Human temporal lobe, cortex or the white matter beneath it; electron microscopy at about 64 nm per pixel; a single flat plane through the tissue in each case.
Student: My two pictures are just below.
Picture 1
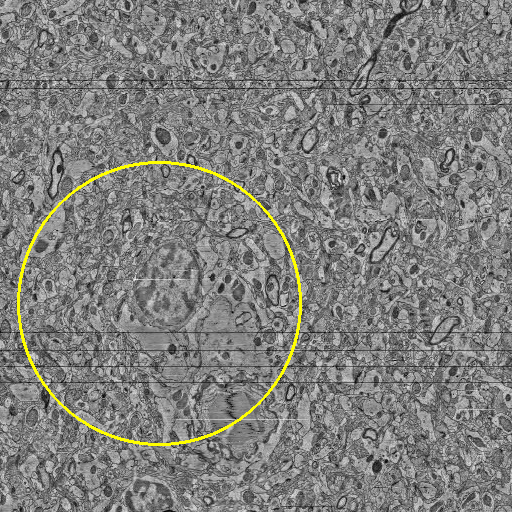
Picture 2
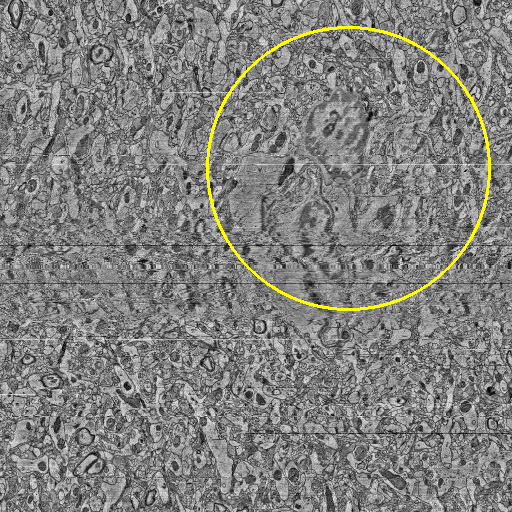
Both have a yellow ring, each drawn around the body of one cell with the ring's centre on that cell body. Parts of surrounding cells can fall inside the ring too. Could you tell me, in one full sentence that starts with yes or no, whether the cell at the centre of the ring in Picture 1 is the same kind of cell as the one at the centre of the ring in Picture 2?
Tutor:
Yes, the two cells are of the same kind.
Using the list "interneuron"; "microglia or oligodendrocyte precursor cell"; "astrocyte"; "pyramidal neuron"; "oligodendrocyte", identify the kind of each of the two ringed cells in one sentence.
Both cells are the same kind, each one being an oligodendrocyte.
